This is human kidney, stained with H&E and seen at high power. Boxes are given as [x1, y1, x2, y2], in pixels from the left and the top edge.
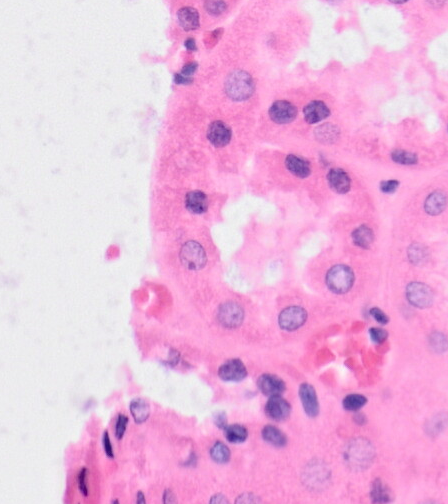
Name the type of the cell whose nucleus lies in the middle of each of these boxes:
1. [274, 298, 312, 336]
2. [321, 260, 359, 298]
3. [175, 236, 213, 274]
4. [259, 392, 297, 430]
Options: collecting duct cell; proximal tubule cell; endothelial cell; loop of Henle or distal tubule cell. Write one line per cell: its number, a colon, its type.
1: proximal tubule cell
2: proximal tubule cell
3: proximal tubule cell
4: loop of Henle or distal tubule cell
